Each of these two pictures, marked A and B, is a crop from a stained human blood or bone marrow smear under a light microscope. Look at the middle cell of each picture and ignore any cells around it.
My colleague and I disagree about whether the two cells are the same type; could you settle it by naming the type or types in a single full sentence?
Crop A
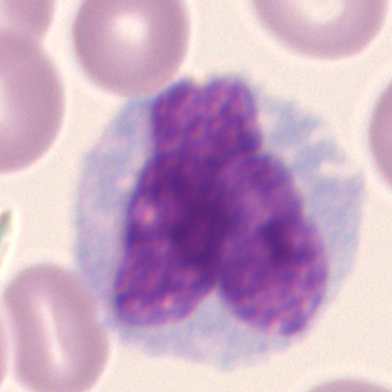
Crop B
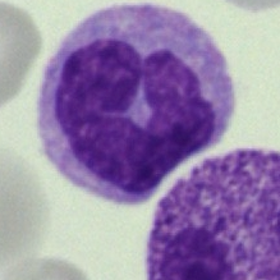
Yes, both crops have monocytes at the centre.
